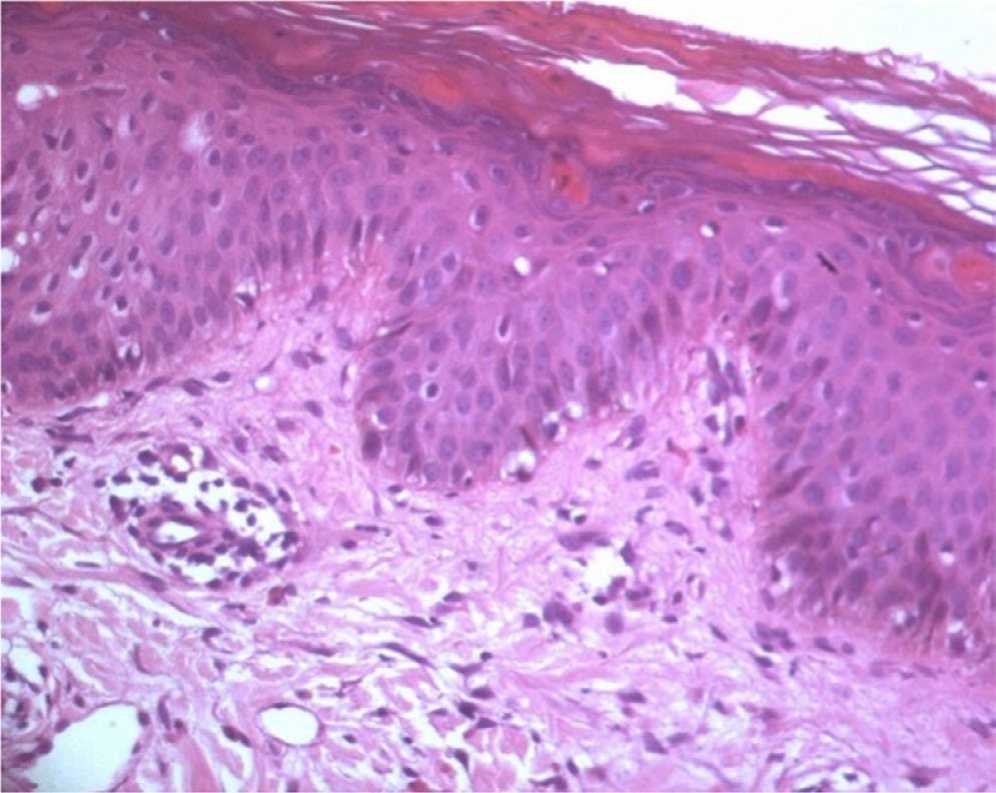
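This section of skin shows a thickened epidermis of keratinocytes with round to oval purple nuclei and pink cytoplasm, capped by a compact, partly flaking pink cornified layer. In the upper epidermis, just under the cornified layer, a few rounded, intensely pink-red bodies stand out from the surrounding cells and correspond to necrotic keratinocytes. In the upper dermis beneath the epidermis, small cells with dark nuclei gather around a small blood vessel, forming a perivascular inflammatory infiltrate. Further scattered inflammatory cells lie in the loose pale pink collagen just below the epidermis.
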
